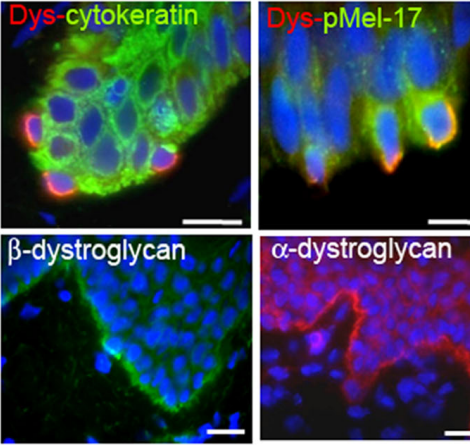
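In the epidermis, most cells are keratinocytes outlined in green with oval blue nuclei, while only a few cells at the basal edge carry a red rim at their lower side. In the lower images a continuous green or red line follows the whole boundary between the epidermis and the tissue below.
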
